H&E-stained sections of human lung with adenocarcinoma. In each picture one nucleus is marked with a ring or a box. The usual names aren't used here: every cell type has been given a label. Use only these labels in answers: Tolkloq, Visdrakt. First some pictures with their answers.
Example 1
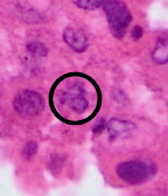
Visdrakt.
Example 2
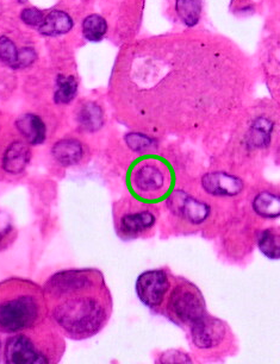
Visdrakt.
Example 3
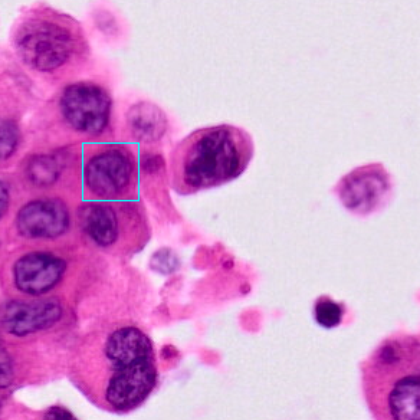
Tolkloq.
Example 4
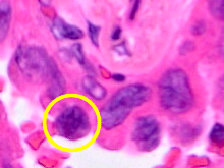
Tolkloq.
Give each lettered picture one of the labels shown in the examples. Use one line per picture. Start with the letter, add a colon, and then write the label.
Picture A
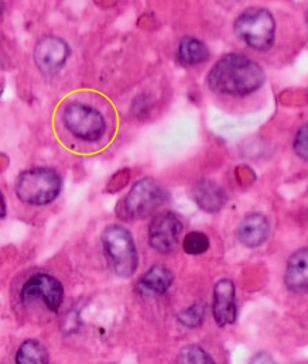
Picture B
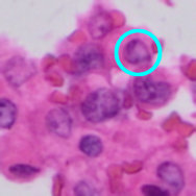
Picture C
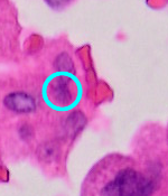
A: Visdrakt.
B: Visdrakt.
C: Visdrakt.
